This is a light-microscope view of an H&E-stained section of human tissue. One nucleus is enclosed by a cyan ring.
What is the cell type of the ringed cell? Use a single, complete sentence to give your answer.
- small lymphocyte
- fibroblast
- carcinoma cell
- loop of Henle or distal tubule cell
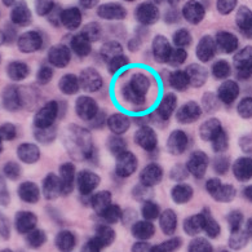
On this particular slide, the ringed cell is a small lymphocyte.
